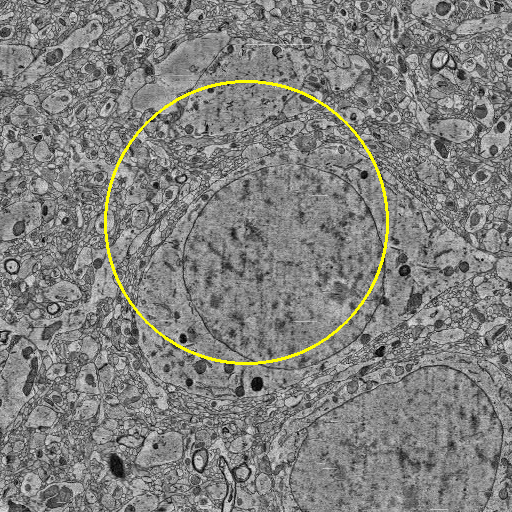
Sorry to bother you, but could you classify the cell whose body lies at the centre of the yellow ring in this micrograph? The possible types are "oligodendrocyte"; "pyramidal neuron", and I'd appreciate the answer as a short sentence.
The ringed cell body is that of a pyramidal neuron.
